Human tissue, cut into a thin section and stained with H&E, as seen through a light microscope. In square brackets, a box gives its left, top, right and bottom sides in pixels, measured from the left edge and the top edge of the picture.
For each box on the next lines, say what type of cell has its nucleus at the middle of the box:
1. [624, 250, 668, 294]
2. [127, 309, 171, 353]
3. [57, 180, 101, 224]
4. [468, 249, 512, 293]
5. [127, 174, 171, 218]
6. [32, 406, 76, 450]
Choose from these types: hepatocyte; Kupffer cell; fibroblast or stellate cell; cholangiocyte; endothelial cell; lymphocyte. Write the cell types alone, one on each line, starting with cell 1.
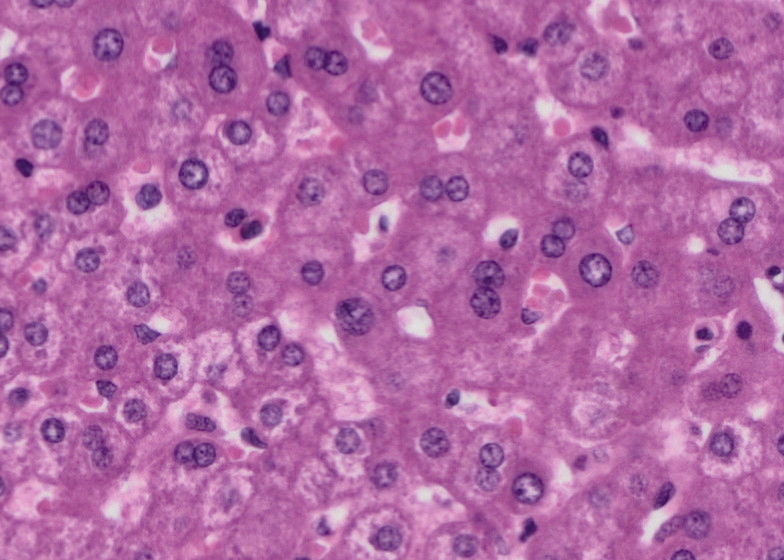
hepatocyte
endothelial cell
hepatocyte
hepatocyte
Kupffer cell
hepatocyte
